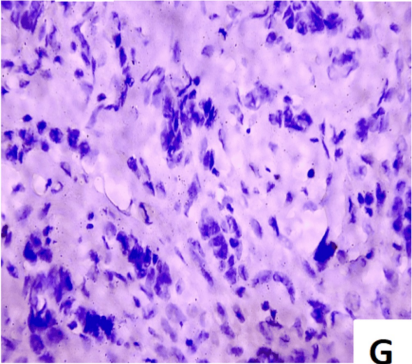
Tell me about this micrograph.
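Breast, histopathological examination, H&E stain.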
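Malignant epithelial cells lie in irregular clusters and strands within a pale, loose stroma. Their nuclei are dark purple, hyperchromatic and markedly varied in size and shape, some large and irregular.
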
